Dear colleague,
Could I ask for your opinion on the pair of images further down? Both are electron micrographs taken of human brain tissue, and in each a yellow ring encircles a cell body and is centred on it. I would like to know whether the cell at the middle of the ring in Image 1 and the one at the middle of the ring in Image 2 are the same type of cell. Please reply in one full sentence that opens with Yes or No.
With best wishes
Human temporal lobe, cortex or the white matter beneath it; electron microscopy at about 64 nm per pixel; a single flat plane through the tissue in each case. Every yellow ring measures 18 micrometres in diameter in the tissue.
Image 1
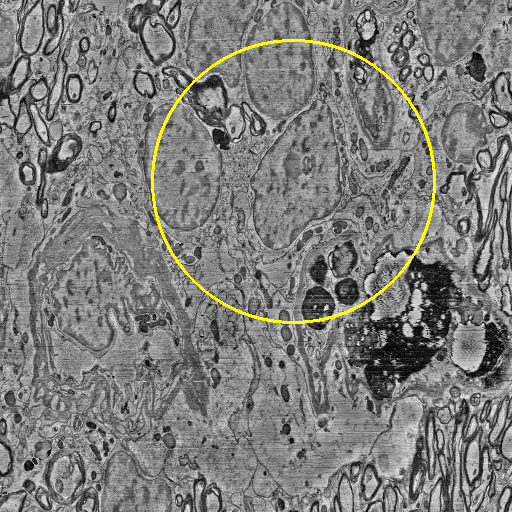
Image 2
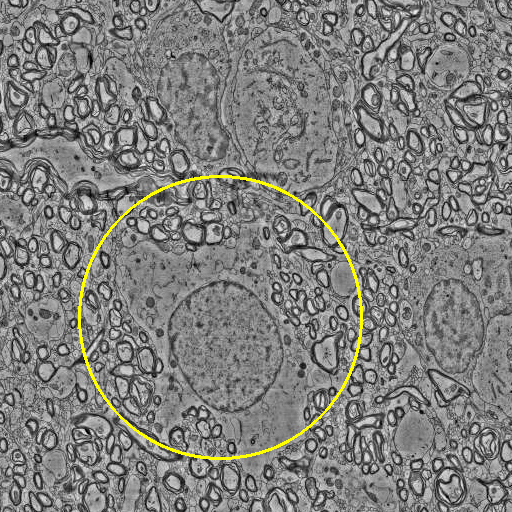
No, the cells at the ring centres in Image 1 and Image 2 are of two types.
